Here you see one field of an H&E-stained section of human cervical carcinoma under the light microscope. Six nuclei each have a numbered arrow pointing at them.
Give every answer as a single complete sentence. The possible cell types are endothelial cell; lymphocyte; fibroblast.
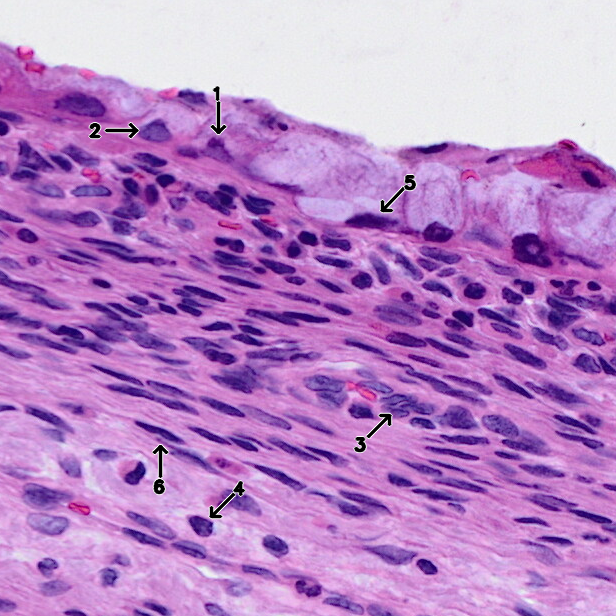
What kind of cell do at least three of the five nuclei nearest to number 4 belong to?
Of the five nuclei nearest to number 4, most belong to endothelial cells.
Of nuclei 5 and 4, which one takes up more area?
Nucleus 5 is larger, with an area about 1.5 times that of nucleus 4.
